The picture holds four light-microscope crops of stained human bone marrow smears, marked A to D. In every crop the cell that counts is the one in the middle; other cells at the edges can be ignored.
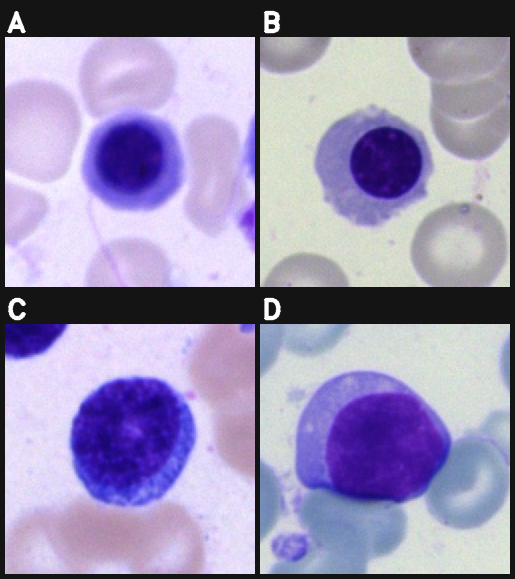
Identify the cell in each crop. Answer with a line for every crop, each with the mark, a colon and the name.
A: erythroblast
B: erythroblast
C: blast
D: lymphocyte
